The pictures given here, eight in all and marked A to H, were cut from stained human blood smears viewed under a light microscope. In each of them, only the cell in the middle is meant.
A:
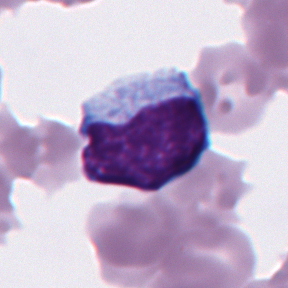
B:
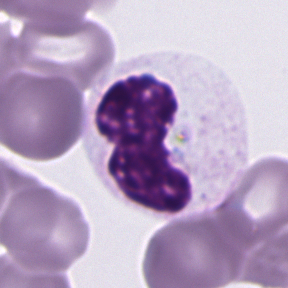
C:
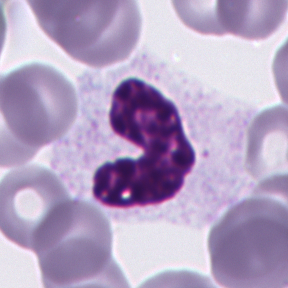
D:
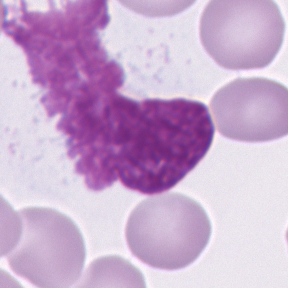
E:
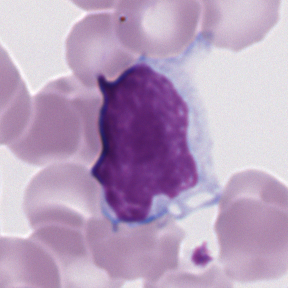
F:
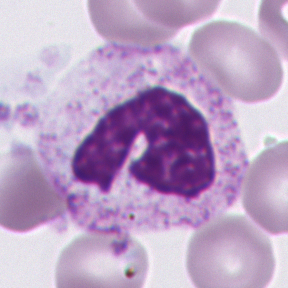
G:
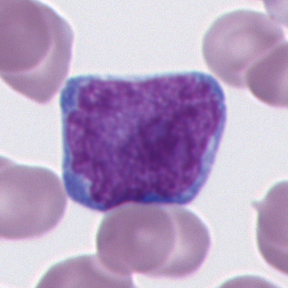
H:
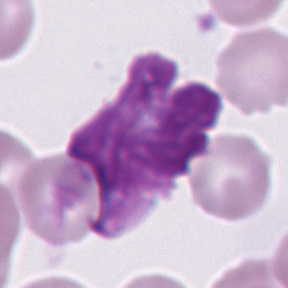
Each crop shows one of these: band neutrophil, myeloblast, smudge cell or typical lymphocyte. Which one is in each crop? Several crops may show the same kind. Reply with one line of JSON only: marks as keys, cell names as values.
{"A": "typical lymphocyte", "B": "band neutrophil", "C": "band neutrophil", "D": "smudge cell", "E": "typical lymphocyte", "F": "band neutrophil", "G": "myeloblast", "H": "smudge cell"}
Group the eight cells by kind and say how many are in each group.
band neutrophil: 3
typical lymphocyte: 2
smudge cell: 2
myeloblast: 1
